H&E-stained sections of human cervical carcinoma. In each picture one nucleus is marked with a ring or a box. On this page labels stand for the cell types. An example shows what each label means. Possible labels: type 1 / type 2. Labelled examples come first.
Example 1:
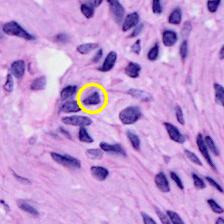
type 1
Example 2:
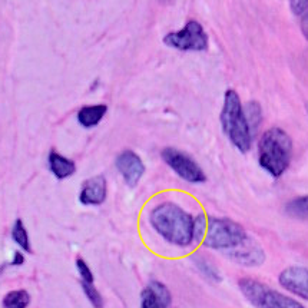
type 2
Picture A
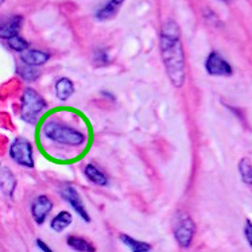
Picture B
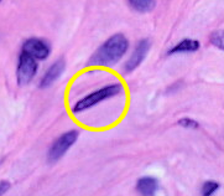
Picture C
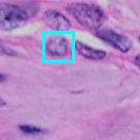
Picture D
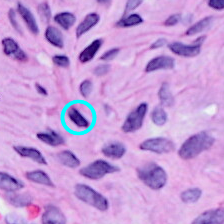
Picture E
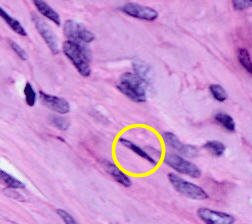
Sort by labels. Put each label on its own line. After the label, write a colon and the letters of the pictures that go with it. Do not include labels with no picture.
type 1: B, D, E
type 2: A, C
